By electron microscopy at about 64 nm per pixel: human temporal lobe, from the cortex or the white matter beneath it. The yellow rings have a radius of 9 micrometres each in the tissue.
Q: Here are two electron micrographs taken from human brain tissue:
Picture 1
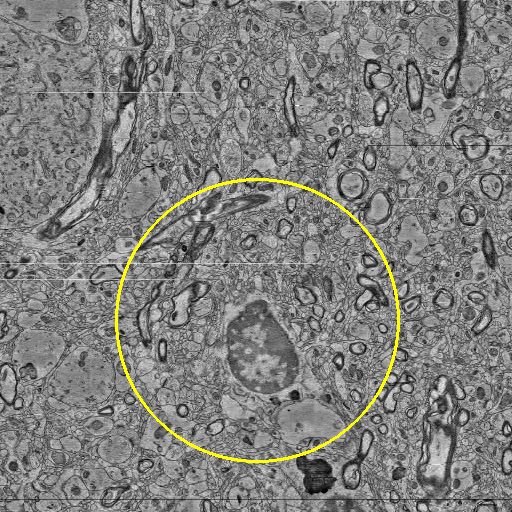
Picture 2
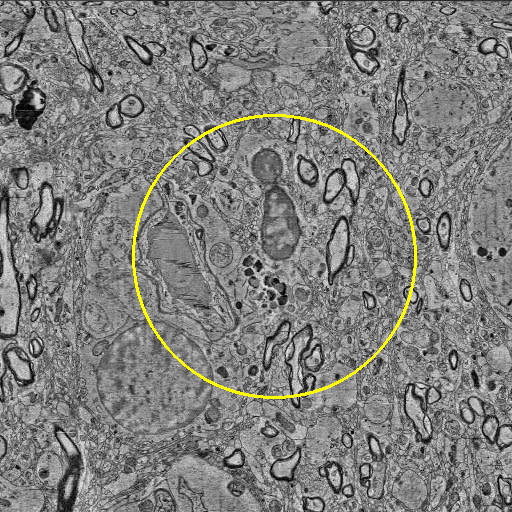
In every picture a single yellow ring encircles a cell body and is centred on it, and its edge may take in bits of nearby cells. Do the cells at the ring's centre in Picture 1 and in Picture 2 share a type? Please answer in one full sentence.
Yes, the cells at the ring's centre in Picture 1 and Picture 2 share a type.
